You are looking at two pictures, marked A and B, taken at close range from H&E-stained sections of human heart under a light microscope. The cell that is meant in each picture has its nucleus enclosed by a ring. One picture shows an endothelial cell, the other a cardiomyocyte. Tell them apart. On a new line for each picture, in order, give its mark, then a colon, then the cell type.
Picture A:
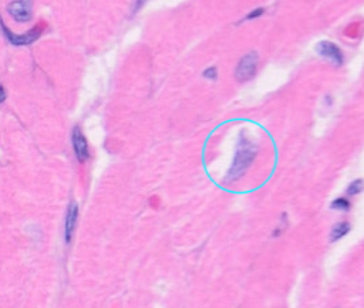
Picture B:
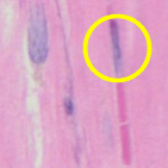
A: cardiomyocyte
B: endothelial cell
